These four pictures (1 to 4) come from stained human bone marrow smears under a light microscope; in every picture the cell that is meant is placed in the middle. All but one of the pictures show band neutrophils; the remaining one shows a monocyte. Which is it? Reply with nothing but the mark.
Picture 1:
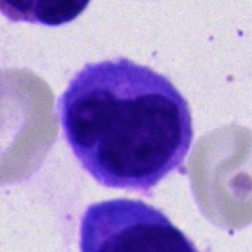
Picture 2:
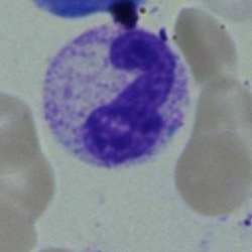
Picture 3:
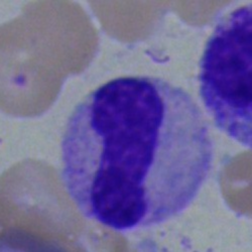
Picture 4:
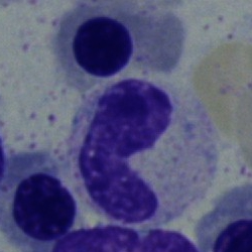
1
